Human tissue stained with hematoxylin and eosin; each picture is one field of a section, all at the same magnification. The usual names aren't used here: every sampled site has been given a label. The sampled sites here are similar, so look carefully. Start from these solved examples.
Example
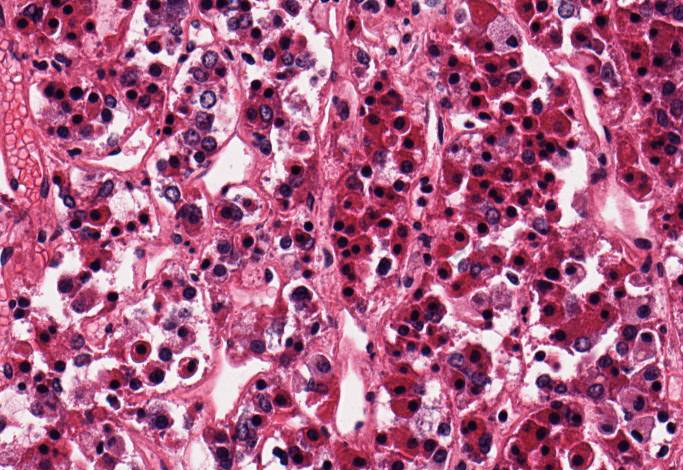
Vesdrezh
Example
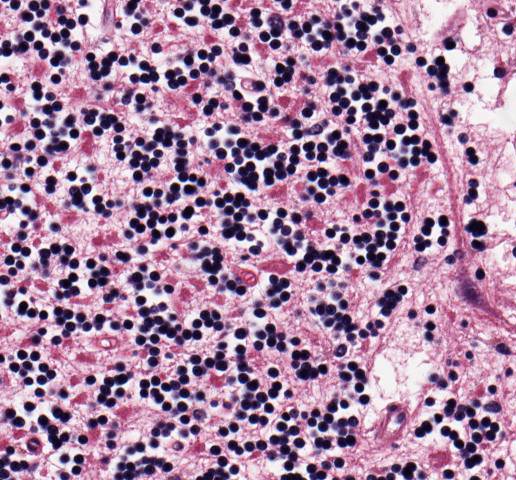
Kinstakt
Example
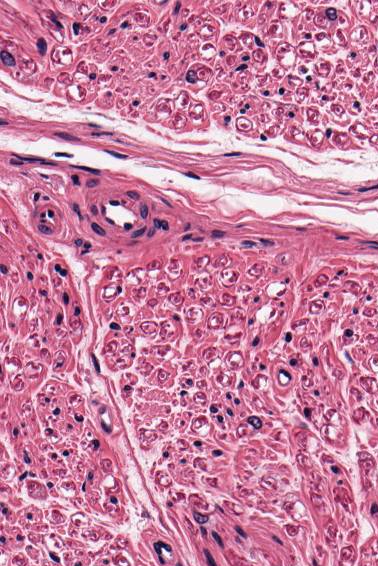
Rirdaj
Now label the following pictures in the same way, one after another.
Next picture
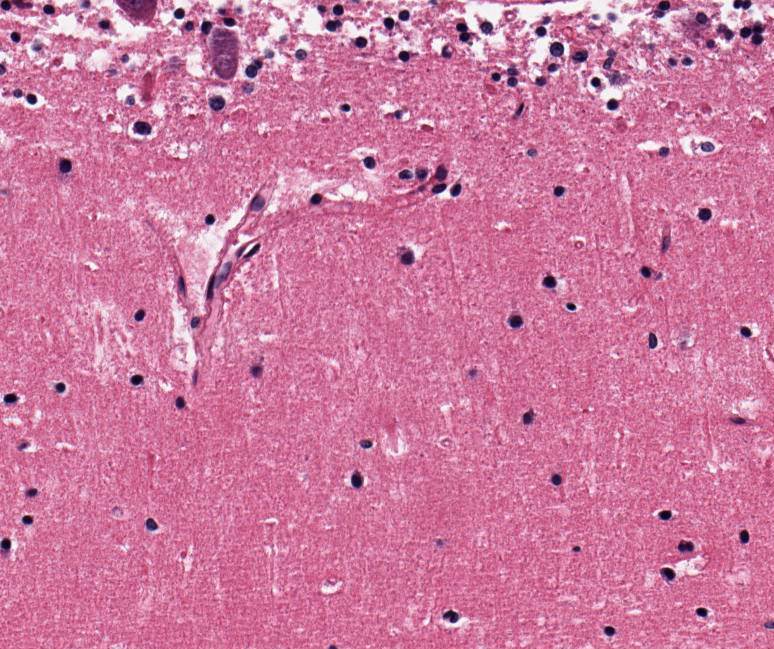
Kinstakt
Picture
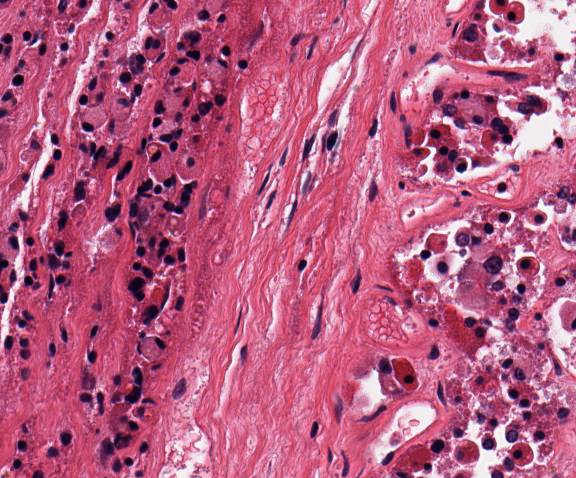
Vesdrezh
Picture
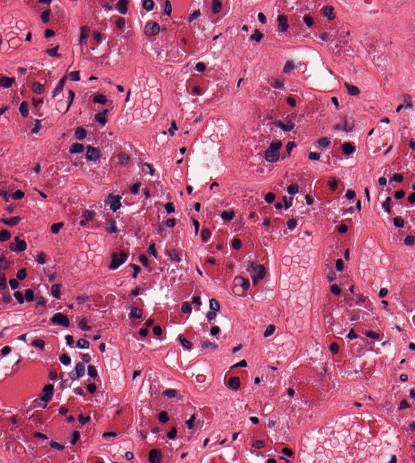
Vesdrezh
